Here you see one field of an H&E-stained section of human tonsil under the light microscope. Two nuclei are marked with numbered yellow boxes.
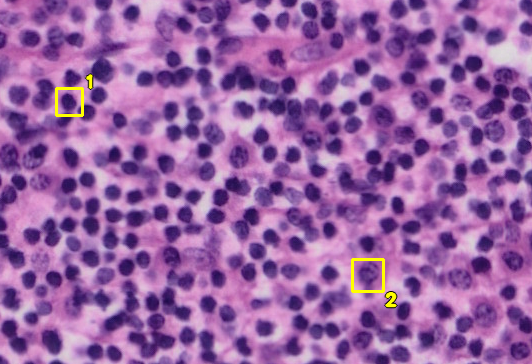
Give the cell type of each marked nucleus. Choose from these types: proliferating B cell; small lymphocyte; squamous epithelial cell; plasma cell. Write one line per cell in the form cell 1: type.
cell 1: small lymphocyte
cell 2: plasma cell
